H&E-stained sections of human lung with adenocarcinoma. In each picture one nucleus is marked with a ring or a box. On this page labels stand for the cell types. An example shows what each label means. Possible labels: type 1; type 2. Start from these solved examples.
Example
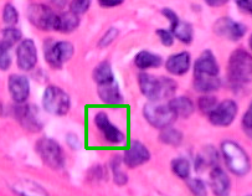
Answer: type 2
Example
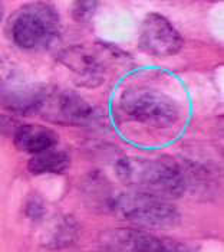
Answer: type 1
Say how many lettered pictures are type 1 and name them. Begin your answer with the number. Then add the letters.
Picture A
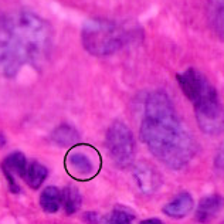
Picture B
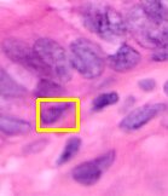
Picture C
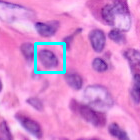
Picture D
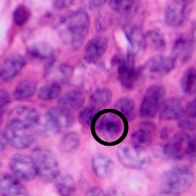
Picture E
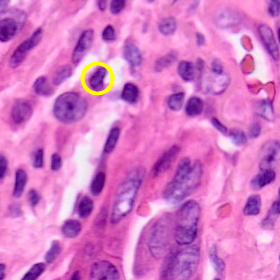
Count: 2 (B, D)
